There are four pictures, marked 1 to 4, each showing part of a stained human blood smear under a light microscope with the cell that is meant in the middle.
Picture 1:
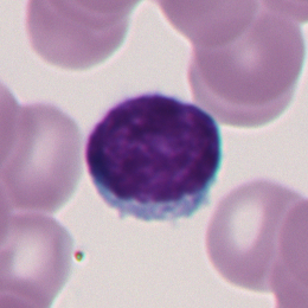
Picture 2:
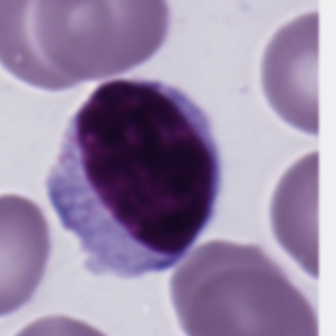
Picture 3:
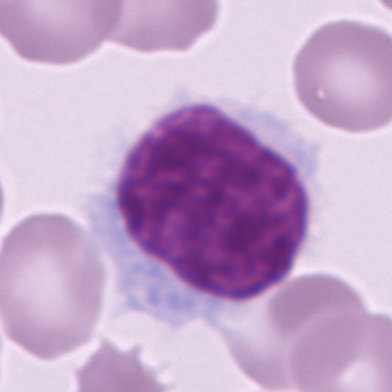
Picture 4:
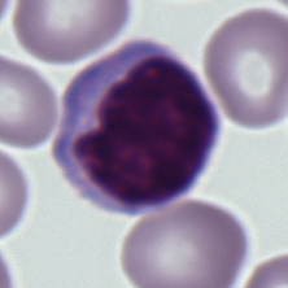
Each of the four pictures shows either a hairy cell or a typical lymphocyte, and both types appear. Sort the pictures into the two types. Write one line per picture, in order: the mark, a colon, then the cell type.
1: typical lymphocyte
2: typical lymphocyte
3: hairy cell
4: typical lymphocyte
